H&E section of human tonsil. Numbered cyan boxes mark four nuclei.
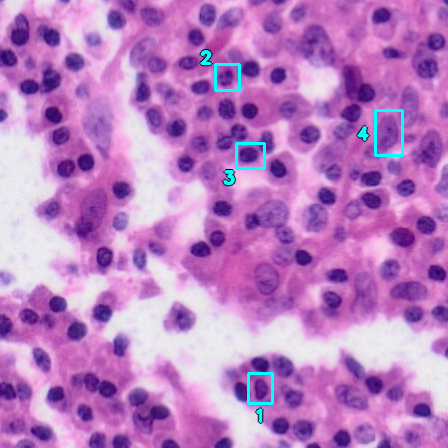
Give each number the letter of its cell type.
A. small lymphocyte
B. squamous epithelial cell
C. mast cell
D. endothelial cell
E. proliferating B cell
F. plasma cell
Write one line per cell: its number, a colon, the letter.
1: F
2: F
3: F
4: B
